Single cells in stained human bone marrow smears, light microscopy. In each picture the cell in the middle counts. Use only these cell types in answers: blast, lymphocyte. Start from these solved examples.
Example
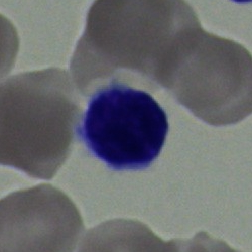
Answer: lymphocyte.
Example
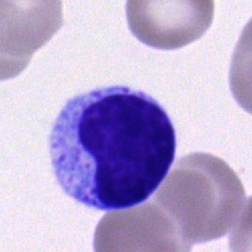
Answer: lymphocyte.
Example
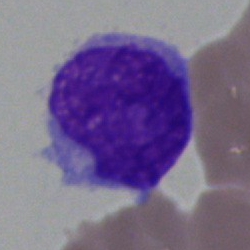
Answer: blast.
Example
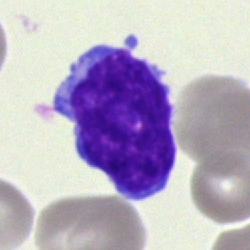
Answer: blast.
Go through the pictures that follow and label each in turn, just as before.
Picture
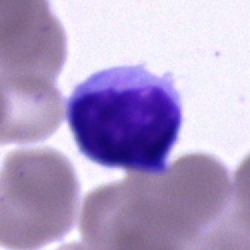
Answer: lymphocyte.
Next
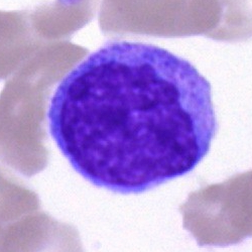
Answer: blast.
